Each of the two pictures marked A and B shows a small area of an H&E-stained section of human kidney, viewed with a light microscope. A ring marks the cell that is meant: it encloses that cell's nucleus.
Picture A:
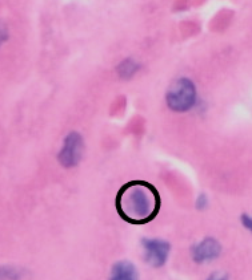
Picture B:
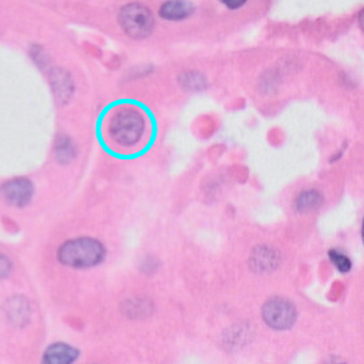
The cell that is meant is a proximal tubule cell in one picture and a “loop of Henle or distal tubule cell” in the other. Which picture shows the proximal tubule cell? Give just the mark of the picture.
B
